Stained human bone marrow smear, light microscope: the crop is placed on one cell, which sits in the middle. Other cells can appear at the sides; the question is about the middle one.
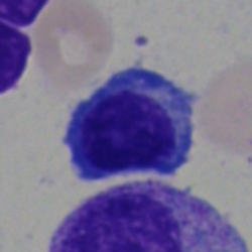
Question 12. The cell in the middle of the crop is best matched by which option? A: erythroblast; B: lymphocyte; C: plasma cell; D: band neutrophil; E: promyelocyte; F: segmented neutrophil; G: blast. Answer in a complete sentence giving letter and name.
Option C is to be chosen, as the central cell is a plasma cell.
